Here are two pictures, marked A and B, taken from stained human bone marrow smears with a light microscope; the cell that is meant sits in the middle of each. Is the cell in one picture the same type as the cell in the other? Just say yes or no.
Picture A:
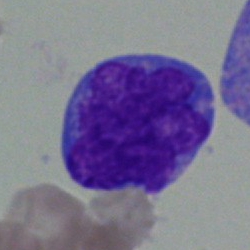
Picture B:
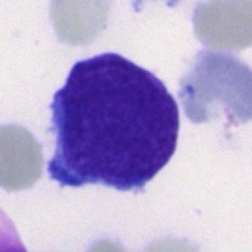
yes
